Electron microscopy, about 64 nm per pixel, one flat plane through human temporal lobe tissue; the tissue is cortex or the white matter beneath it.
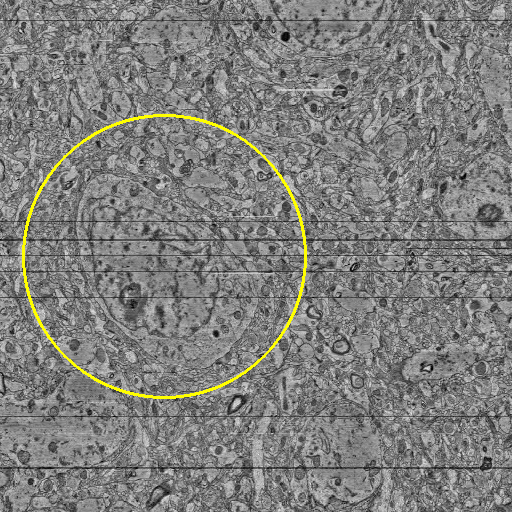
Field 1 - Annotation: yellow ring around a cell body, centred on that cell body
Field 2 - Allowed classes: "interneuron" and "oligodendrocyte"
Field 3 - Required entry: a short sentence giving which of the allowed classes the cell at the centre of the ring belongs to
The centred cell is an interneuron.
